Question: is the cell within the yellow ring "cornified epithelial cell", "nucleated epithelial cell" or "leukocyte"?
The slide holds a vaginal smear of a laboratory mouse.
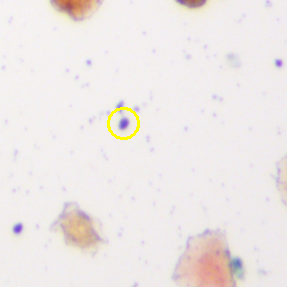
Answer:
leukocyte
